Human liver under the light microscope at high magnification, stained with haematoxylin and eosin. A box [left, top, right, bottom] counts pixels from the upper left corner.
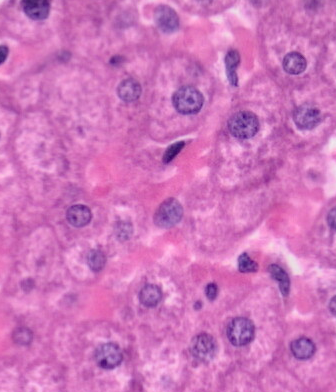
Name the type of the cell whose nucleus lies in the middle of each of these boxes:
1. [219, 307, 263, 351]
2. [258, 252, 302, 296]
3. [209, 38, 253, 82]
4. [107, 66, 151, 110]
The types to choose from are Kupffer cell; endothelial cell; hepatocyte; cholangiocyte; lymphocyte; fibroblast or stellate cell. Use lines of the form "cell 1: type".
cell 1: hepatocyte
cell 2: Kupffer cell
cell 3: Kupffer cell
cell 4: hepatocyte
